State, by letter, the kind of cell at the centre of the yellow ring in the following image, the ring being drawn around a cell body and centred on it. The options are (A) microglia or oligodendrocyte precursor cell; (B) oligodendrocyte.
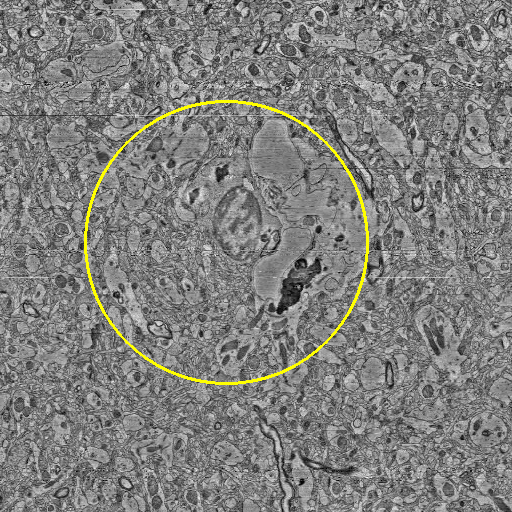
B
